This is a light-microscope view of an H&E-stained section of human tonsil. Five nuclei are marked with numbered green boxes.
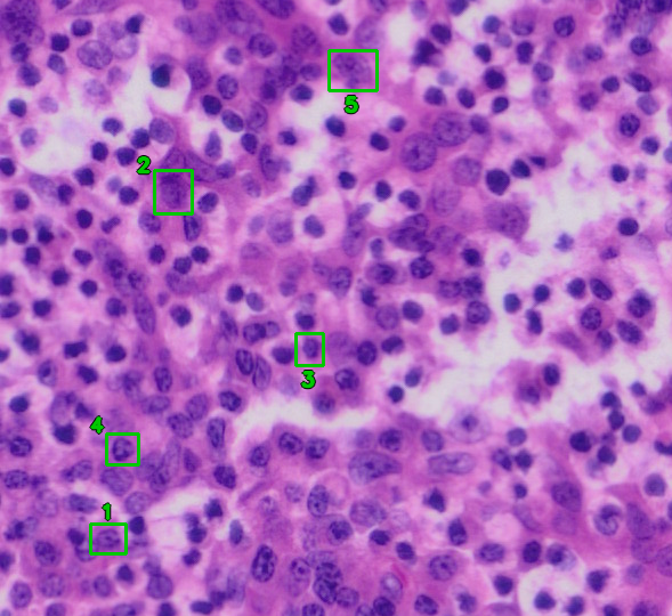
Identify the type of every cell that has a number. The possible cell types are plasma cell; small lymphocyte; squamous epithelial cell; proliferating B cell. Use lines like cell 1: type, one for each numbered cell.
cell 1: plasma cell
cell 2: squamous epithelial cell
cell 3: plasma cell
cell 4: plasma cell
cell 5: squamous epithelial cell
